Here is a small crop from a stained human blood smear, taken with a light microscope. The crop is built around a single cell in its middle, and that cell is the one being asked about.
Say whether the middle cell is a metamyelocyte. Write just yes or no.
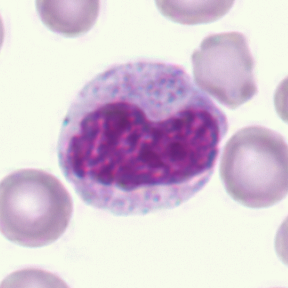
yes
